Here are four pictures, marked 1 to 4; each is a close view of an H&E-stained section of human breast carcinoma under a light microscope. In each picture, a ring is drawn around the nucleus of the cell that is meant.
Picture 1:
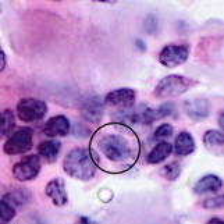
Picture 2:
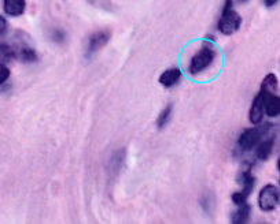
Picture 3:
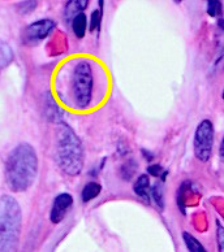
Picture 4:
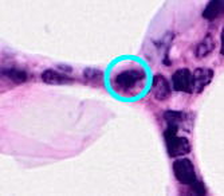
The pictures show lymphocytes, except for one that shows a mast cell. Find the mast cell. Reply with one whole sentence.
It is picture 3 that shows the mast cell.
